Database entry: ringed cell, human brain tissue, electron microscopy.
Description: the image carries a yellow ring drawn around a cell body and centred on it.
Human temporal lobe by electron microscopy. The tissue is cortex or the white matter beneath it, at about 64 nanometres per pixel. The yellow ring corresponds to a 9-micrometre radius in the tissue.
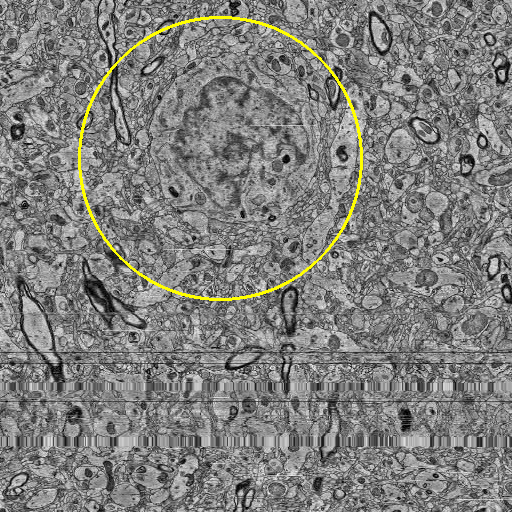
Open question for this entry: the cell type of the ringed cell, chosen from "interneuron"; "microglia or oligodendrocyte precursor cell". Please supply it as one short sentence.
The ringed cell is an interneuron.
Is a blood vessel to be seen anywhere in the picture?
No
